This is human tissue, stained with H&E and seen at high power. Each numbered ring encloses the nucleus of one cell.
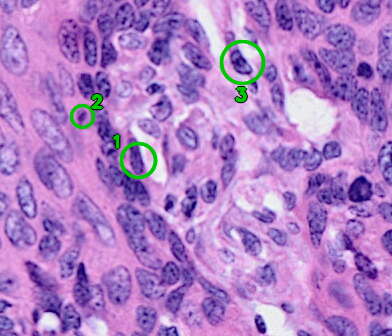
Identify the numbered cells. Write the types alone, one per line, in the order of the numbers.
squamous carcinoma cell
squamous carcinoma cell
lymphocyte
